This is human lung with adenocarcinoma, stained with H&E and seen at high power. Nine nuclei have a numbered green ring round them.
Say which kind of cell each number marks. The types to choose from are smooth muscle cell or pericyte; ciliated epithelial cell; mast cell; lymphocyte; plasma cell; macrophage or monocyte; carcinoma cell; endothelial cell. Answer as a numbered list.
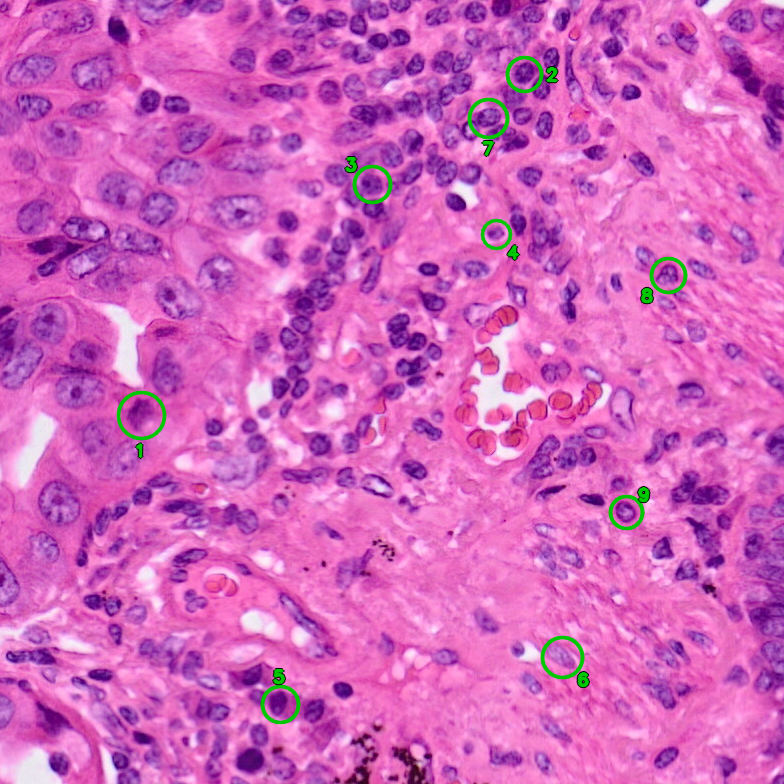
1. carcinoma cell
2. plasma cell
3. lymphocyte
4. lymphocyte
5. plasma cell
6. smooth muscle cell or pericyte
7. lymphocyte
8. mast cell
9. mast cell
